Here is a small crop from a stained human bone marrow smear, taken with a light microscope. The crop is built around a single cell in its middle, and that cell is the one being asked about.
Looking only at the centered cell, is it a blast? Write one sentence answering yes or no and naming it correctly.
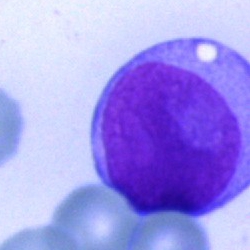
Yes, the centered cell in this field is a blast.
